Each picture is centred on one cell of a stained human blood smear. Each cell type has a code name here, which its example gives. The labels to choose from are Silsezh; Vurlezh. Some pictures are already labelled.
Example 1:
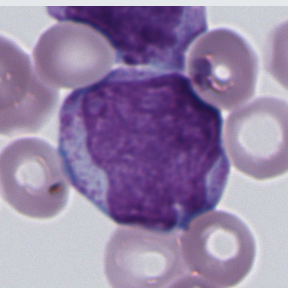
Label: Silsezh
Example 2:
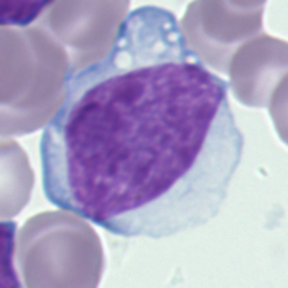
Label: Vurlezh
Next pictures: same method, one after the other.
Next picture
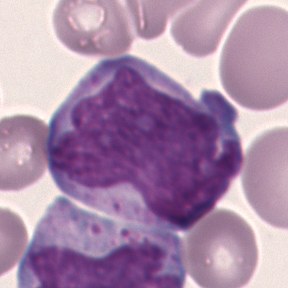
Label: Silsezh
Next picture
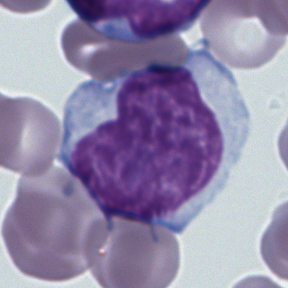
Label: Vurlezh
